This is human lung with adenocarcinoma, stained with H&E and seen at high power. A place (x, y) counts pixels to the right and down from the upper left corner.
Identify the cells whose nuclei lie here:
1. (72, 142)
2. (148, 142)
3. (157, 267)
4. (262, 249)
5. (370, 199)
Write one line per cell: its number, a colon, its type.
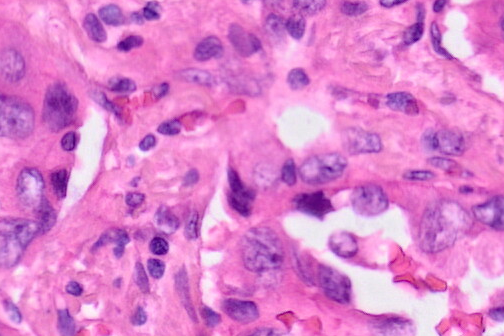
1: lymphocyte
2: lymphocyte
3: lymphocyte
4: carcinoma cell
5: carcinoma cell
